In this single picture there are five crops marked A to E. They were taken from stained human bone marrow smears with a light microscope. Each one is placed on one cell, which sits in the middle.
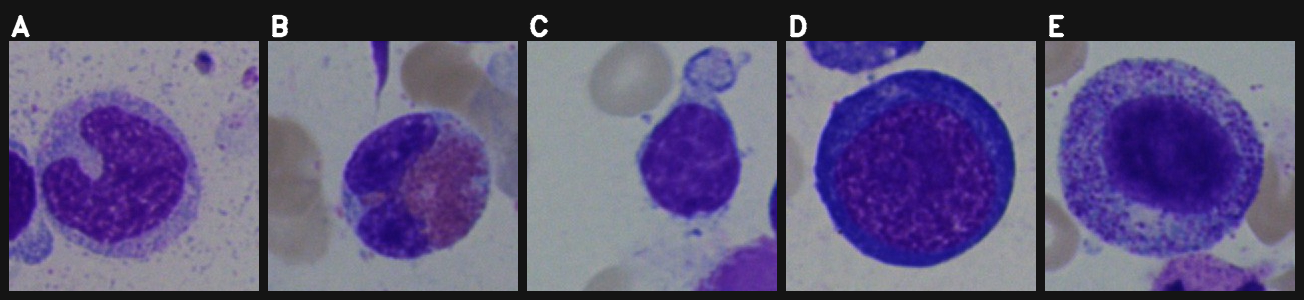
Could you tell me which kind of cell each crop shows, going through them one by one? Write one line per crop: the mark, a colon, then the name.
A: monocyte
B: eosinophil
C: lymphocyte
D: proerythroblast
E: myelocyte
